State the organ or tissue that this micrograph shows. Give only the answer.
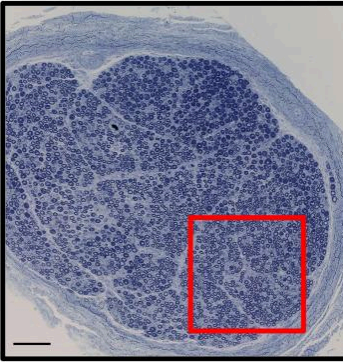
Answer: Nerve.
